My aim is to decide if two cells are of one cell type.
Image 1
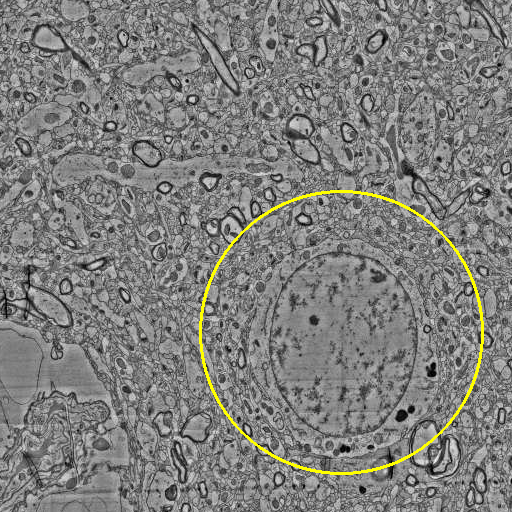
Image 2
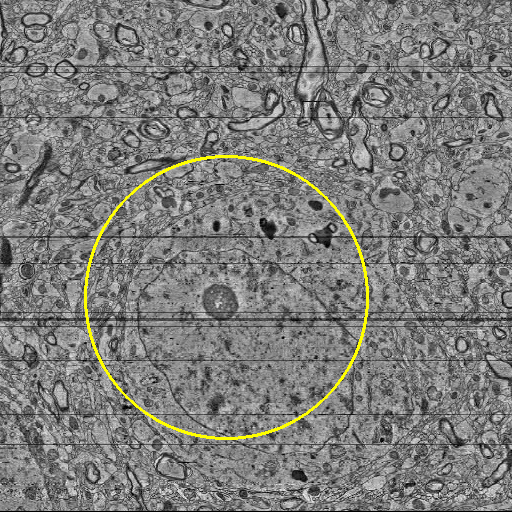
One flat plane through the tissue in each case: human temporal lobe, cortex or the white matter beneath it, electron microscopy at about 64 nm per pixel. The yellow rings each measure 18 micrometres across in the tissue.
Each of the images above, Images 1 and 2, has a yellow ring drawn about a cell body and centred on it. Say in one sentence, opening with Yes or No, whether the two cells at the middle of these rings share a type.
Yes, in Images 1 and 2 the cells at the middle of the rings share one type.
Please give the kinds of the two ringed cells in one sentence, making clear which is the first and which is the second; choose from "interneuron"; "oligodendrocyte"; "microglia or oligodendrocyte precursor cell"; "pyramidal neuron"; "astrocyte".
In both pictures the ring is centred on a pyramidal neuron.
